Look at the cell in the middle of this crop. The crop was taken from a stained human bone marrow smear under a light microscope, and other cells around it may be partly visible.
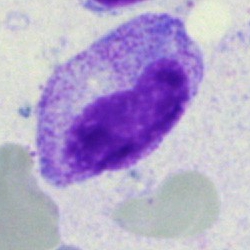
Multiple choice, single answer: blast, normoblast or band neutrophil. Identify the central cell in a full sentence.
Classification of the middle cell gives a band neutrophil.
